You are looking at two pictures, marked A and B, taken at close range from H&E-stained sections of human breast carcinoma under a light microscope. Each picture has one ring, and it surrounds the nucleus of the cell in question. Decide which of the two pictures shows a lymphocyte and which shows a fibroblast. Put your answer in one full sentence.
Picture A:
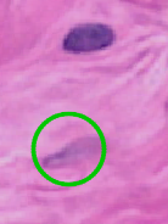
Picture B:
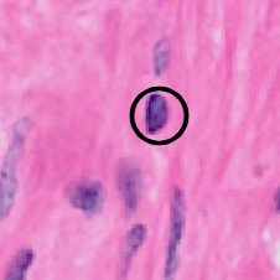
Picture B shows a lymphocyte, while picture A shows a fibroblast.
